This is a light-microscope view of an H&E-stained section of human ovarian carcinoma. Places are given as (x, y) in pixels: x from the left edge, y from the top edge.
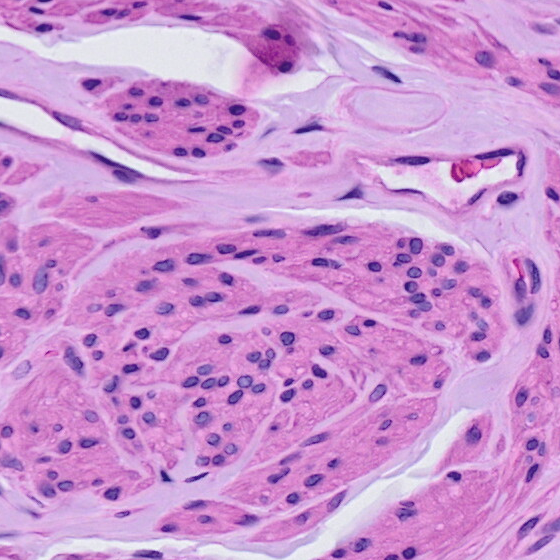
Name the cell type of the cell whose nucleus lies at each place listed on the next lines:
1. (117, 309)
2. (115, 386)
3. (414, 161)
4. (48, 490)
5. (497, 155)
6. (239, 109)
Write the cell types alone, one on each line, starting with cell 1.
smooth muscle cell
smooth muscle cell
endothelial cell
smooth muscle cell
endothelial cell
smooth muscle cell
